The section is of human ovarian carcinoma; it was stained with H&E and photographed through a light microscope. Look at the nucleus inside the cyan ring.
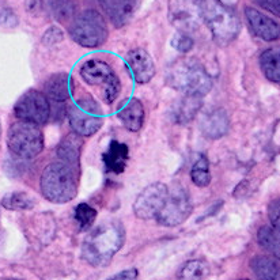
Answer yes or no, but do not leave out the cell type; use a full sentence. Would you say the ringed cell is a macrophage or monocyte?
Yes, the ringed cell is a macrophage or monocyte; nothing to add.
